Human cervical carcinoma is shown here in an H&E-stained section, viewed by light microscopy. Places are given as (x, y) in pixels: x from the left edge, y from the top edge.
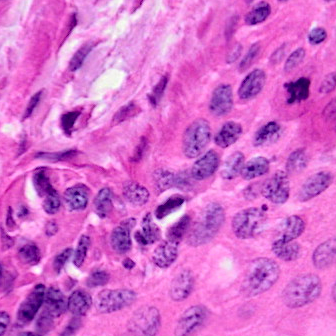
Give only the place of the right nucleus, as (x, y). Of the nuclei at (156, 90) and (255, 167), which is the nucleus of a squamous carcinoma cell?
(255, 167)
